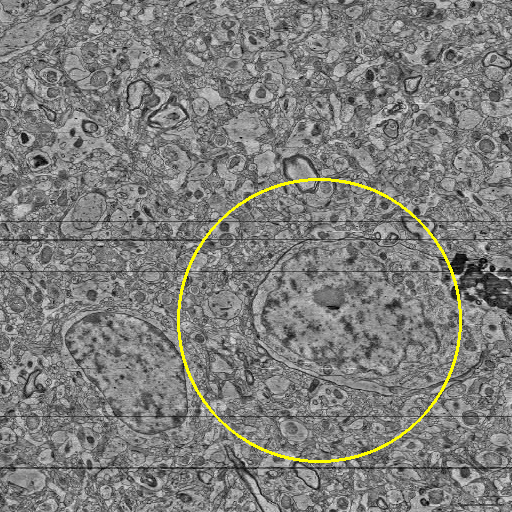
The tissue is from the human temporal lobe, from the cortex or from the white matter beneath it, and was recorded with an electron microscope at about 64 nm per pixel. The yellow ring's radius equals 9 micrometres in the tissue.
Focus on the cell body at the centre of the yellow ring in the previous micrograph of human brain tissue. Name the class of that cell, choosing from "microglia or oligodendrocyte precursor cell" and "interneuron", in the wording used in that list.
interneuron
